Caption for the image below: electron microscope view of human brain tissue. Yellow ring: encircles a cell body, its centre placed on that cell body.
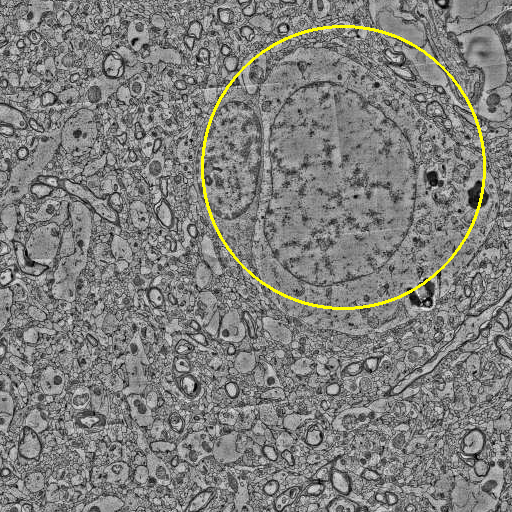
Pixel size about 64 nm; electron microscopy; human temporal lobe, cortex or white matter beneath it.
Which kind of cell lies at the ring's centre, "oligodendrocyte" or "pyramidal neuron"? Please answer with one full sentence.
The picture shows a pyramidal neuron at the centre of the yellow ring.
